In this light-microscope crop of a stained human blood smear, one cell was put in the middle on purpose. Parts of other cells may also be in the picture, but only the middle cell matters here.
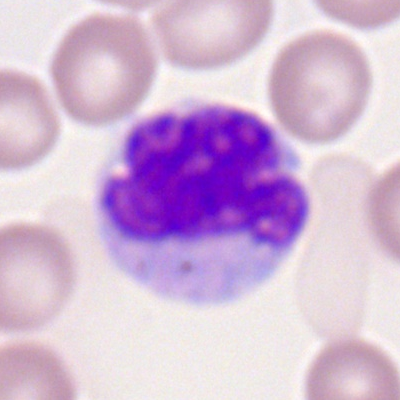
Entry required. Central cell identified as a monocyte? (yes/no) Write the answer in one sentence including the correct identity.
Yes, at the centre of the crop lies a monocyte.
